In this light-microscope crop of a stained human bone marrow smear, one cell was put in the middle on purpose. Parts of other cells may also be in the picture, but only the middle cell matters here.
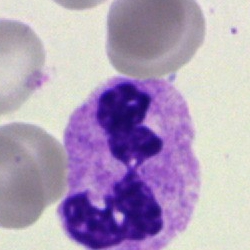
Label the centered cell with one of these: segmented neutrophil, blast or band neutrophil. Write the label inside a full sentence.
The cell at the central position in this crop is a segmented neutrophil.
